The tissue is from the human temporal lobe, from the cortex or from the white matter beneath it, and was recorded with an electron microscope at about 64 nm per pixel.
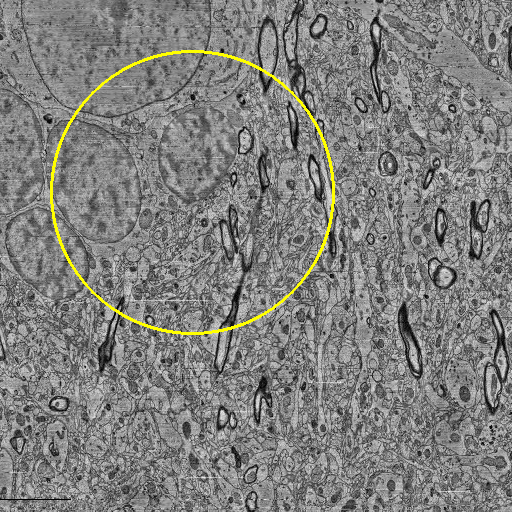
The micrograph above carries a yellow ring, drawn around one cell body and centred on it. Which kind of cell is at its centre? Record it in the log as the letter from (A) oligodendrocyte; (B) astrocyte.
A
